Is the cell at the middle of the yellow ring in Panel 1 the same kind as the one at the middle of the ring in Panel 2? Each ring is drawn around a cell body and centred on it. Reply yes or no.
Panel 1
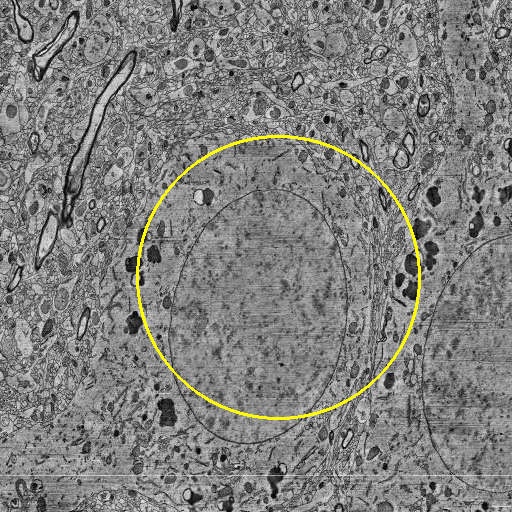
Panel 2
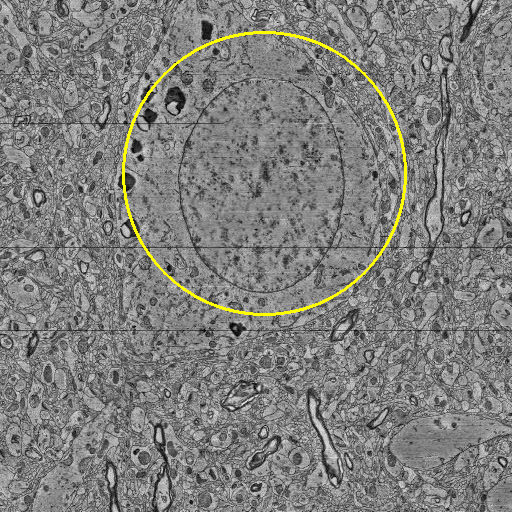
yes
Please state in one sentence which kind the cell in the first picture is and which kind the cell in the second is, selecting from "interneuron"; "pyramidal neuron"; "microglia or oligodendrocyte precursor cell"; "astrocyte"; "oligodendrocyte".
Each cell, in the first picture and the second, is a pyramidal neuron.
